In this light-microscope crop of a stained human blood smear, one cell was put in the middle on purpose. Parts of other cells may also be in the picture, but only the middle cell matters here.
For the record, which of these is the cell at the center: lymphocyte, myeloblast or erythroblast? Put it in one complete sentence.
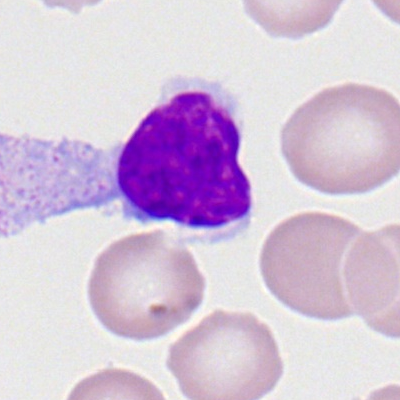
In the central position of this crop, the cell is a lymphocyte.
